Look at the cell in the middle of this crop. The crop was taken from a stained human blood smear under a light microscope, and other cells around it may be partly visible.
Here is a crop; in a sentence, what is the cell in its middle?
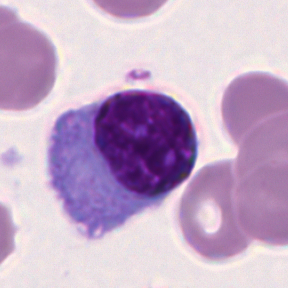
As for the cell in the middle, it is a plasma cell.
